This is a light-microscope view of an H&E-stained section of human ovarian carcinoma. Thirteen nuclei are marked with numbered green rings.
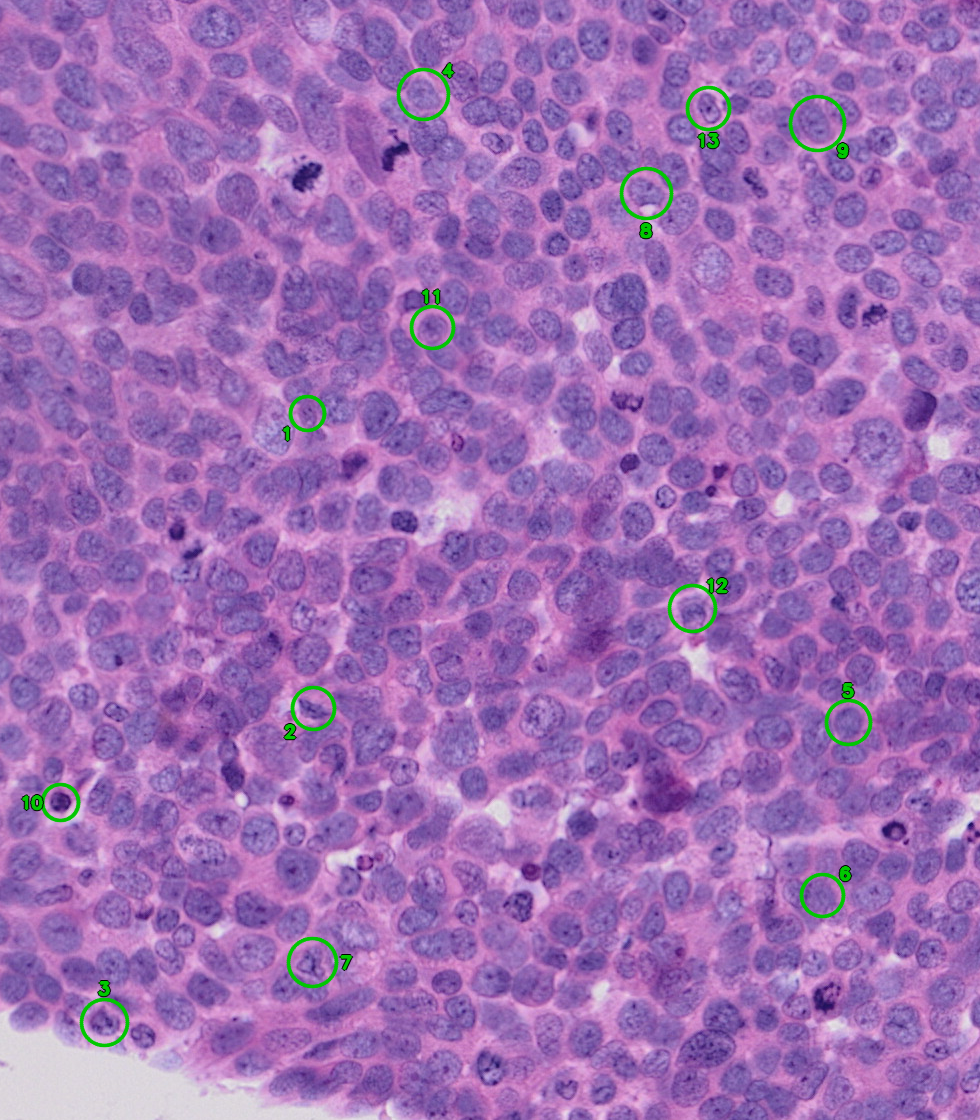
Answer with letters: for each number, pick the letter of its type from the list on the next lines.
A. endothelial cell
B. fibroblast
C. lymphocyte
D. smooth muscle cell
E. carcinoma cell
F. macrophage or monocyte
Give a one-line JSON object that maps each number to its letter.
{"1": "E", "2": "F", "3": "F", "4": "E", "5": "E", "6": "E", "7": "F", "8": "E", "9": "E", "10": "C", "11": "E", "12": "F", "13": "F"}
